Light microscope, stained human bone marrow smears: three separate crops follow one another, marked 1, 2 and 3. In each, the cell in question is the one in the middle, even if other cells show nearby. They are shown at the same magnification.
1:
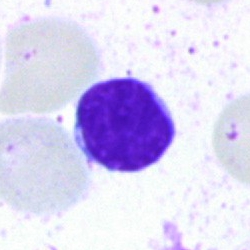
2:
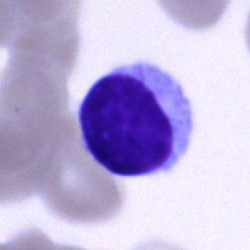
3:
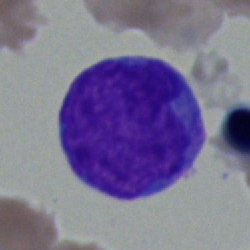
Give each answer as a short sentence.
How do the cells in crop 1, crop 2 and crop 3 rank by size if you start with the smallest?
Going up, they run 1, 2, 3.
